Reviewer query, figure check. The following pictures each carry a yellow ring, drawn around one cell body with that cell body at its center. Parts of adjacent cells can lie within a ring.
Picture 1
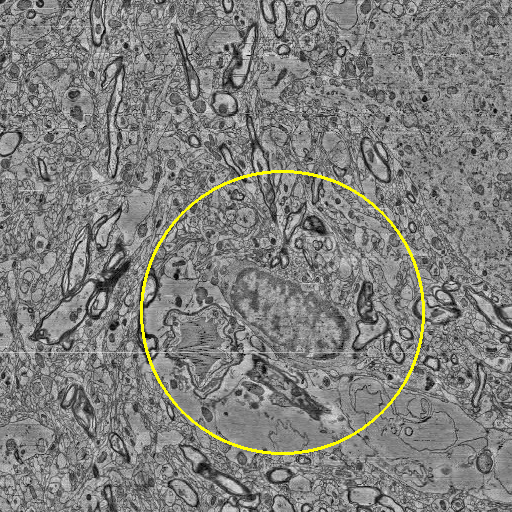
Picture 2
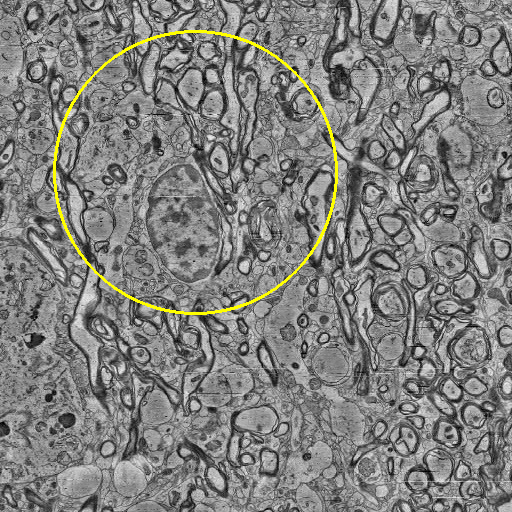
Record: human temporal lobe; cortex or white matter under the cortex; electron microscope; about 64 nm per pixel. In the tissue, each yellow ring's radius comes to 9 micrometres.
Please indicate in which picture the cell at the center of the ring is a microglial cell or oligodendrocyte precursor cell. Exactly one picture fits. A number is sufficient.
2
